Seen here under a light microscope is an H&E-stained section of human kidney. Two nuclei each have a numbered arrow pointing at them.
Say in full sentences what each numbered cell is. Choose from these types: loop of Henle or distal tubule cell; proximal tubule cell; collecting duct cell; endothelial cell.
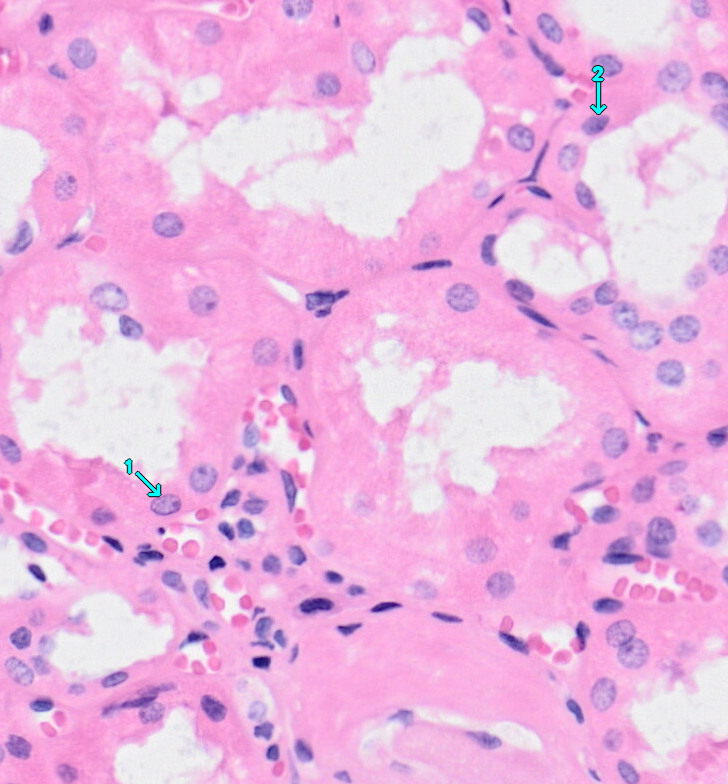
Cell 1 is a proximal tubule cell. Cell 2 is a loop of Henle or distal tubule cell.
